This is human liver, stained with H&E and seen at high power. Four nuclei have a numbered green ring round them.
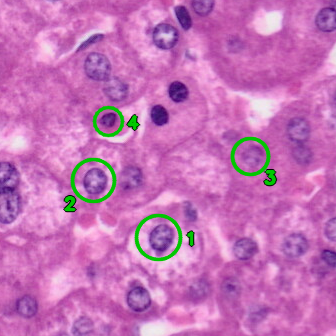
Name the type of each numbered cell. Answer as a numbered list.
1. hepatocyte
2. hepatocyte
3. hepatocyte
4. Kupffer cell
